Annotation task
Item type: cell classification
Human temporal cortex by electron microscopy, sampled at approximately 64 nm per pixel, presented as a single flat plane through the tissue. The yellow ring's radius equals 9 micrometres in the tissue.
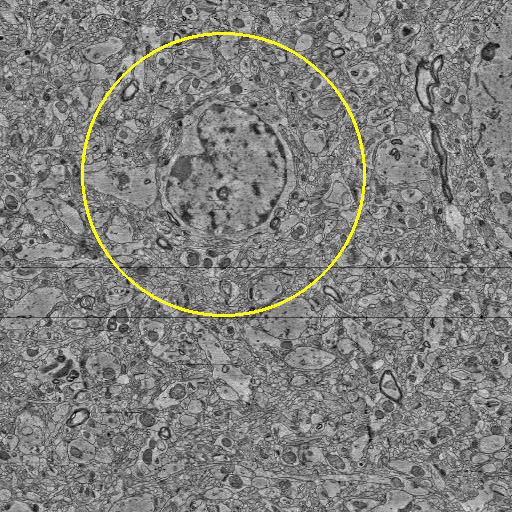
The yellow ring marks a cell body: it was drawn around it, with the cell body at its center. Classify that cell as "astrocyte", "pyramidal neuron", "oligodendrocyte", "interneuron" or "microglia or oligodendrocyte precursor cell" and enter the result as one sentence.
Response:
The ring's center falls on a microglial cell or oligodendrocyte precursor cell.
